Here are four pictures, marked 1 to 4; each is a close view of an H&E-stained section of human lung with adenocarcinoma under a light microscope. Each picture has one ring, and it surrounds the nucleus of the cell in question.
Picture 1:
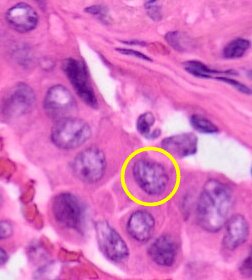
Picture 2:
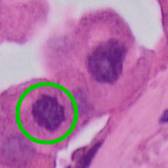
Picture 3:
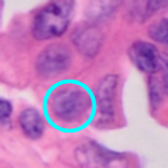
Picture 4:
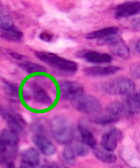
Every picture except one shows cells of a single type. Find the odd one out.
4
